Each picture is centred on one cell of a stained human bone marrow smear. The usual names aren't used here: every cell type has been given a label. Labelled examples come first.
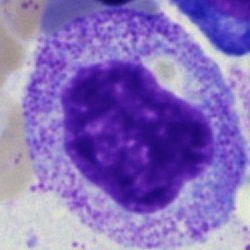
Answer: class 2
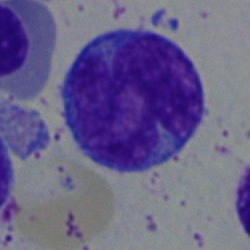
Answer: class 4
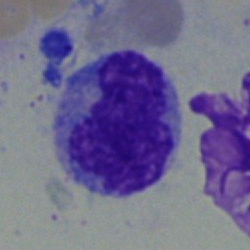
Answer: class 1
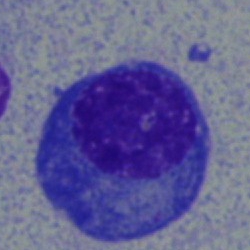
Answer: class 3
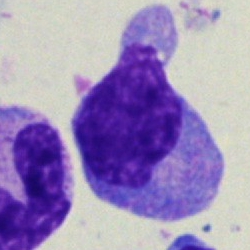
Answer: class 1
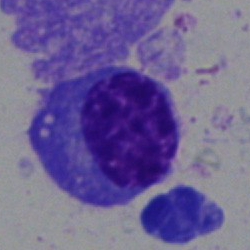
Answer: class 3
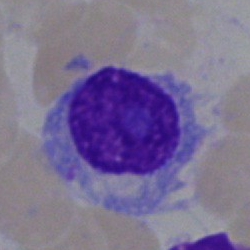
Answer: class 3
